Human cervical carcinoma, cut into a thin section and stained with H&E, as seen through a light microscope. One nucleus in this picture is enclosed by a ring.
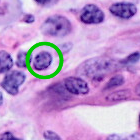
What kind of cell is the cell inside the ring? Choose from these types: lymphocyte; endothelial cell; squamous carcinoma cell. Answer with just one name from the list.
lymphocyte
